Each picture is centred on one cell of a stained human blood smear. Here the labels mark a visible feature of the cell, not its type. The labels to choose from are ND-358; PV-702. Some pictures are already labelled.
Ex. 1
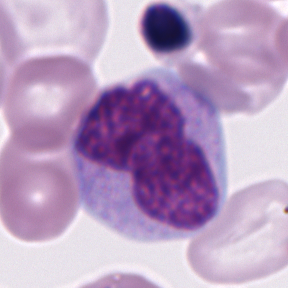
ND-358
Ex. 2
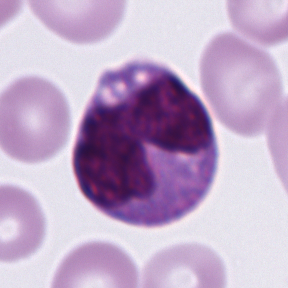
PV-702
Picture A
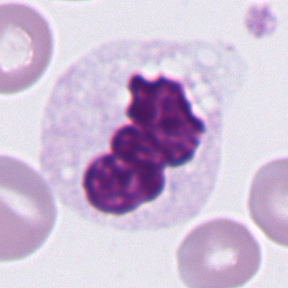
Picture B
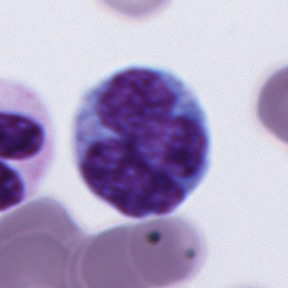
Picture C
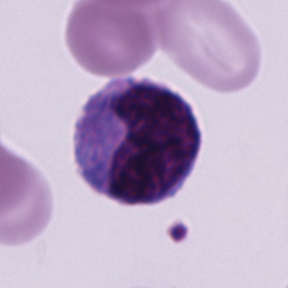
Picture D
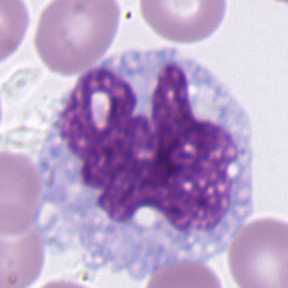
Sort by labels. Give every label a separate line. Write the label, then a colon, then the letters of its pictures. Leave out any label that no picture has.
ND-358: B, C
PV-702: A, D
